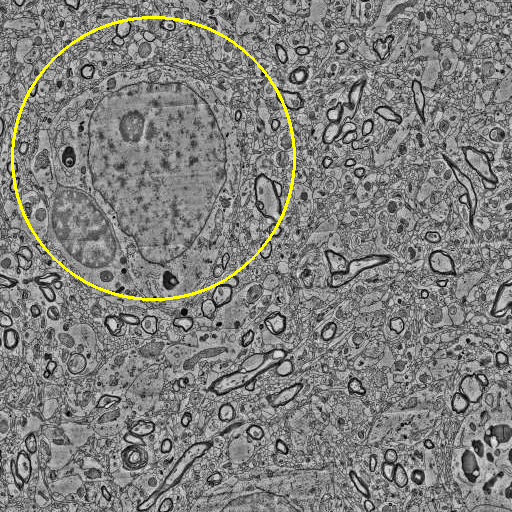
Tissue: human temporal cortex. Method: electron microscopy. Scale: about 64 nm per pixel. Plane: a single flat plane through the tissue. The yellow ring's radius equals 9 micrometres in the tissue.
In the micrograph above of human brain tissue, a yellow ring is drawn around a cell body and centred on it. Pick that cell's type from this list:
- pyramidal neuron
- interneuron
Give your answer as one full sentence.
Going by the list, a pyramidal neuron is the cell on which the yellow ring is centred.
